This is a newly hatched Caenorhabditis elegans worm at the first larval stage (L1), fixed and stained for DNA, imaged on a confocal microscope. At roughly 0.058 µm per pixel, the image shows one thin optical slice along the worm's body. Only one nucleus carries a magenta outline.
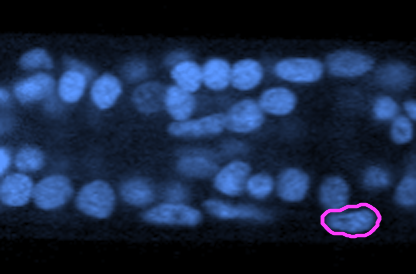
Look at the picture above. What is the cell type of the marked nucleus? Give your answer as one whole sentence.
It belongs to a body wall muscle cell.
